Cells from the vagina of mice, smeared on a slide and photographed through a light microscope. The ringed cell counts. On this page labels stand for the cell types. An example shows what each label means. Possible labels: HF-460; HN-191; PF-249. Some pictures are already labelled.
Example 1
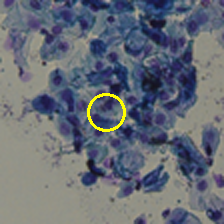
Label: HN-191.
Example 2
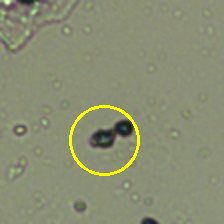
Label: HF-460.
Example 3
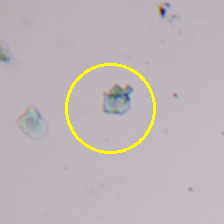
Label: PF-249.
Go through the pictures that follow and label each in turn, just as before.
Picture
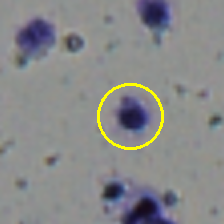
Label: HF-460.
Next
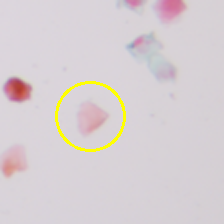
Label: PF-249.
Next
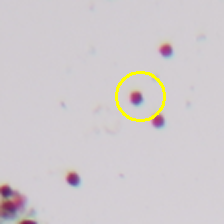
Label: HF-460.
